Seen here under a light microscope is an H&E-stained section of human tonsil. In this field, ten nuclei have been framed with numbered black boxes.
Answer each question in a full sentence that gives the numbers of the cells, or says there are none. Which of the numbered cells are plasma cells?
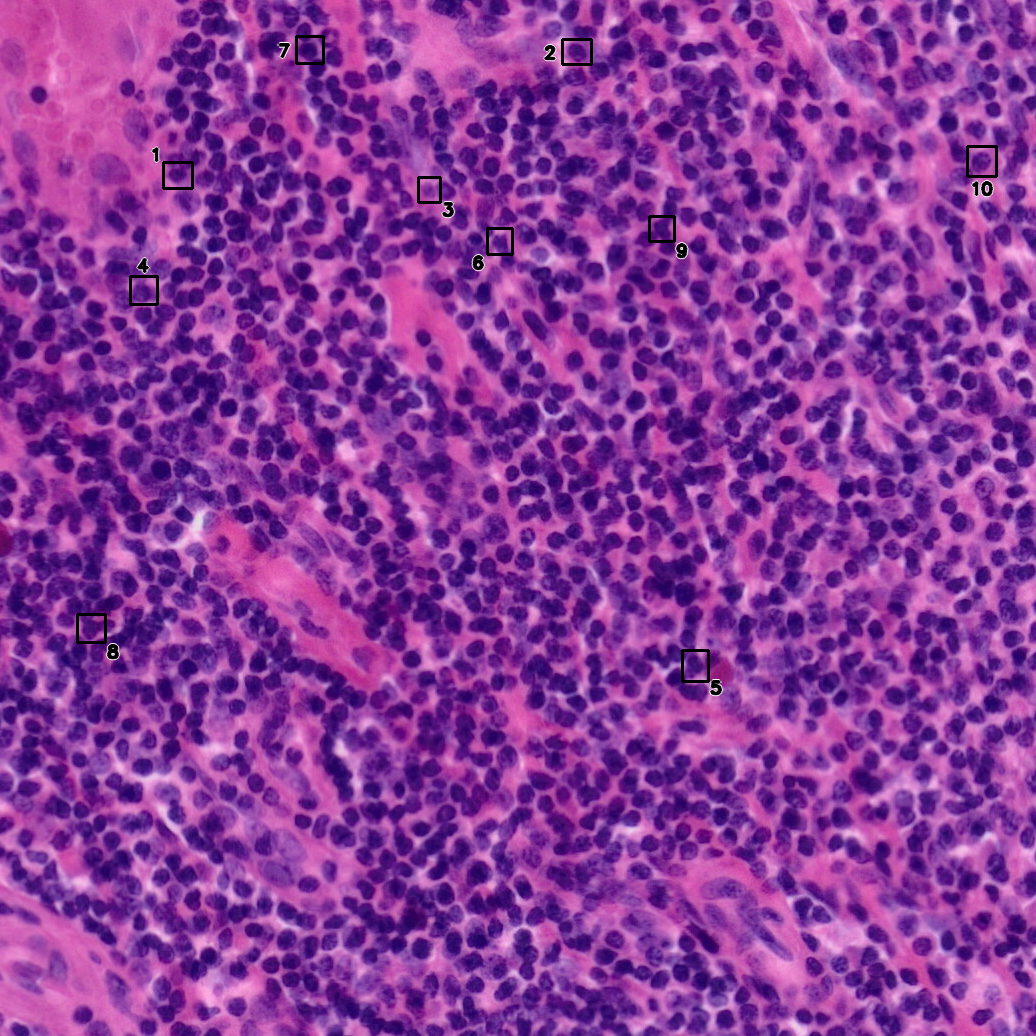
The numbers 2 and 10 mark cells that are plasma cells.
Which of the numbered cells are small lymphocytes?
Cells 4, 5, 6, 7, 8 and 9 are recognised here as small lymphocytes.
